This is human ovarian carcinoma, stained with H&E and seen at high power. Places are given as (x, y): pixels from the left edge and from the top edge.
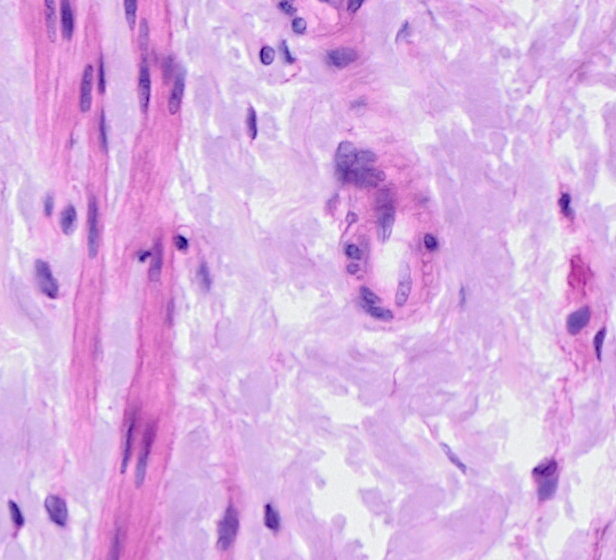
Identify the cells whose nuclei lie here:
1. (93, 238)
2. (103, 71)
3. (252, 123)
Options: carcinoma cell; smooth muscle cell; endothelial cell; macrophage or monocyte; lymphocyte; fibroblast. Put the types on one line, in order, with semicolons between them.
smooth muscle cell; smooth muscle cell; fibroblast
